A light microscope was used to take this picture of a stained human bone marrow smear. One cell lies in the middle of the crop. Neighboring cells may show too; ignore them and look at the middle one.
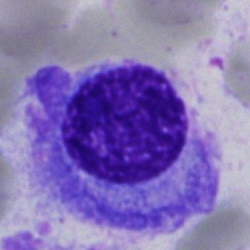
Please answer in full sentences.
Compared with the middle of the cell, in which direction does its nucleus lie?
The nucleus is pushed toward the top of the cell.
